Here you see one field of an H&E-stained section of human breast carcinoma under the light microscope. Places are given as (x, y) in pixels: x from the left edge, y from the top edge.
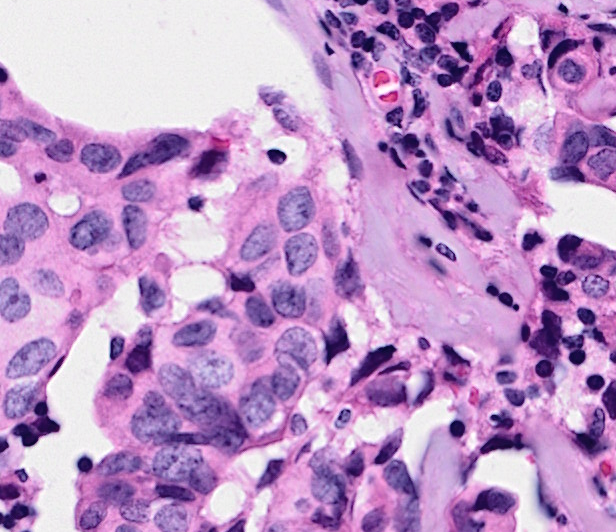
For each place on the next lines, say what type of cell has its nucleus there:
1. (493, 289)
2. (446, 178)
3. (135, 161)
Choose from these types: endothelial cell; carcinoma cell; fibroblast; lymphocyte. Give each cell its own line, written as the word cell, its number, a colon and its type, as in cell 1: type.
cell 1: lymphocyte
cell 2: lymphocyte
cell 3: carcinoma cell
